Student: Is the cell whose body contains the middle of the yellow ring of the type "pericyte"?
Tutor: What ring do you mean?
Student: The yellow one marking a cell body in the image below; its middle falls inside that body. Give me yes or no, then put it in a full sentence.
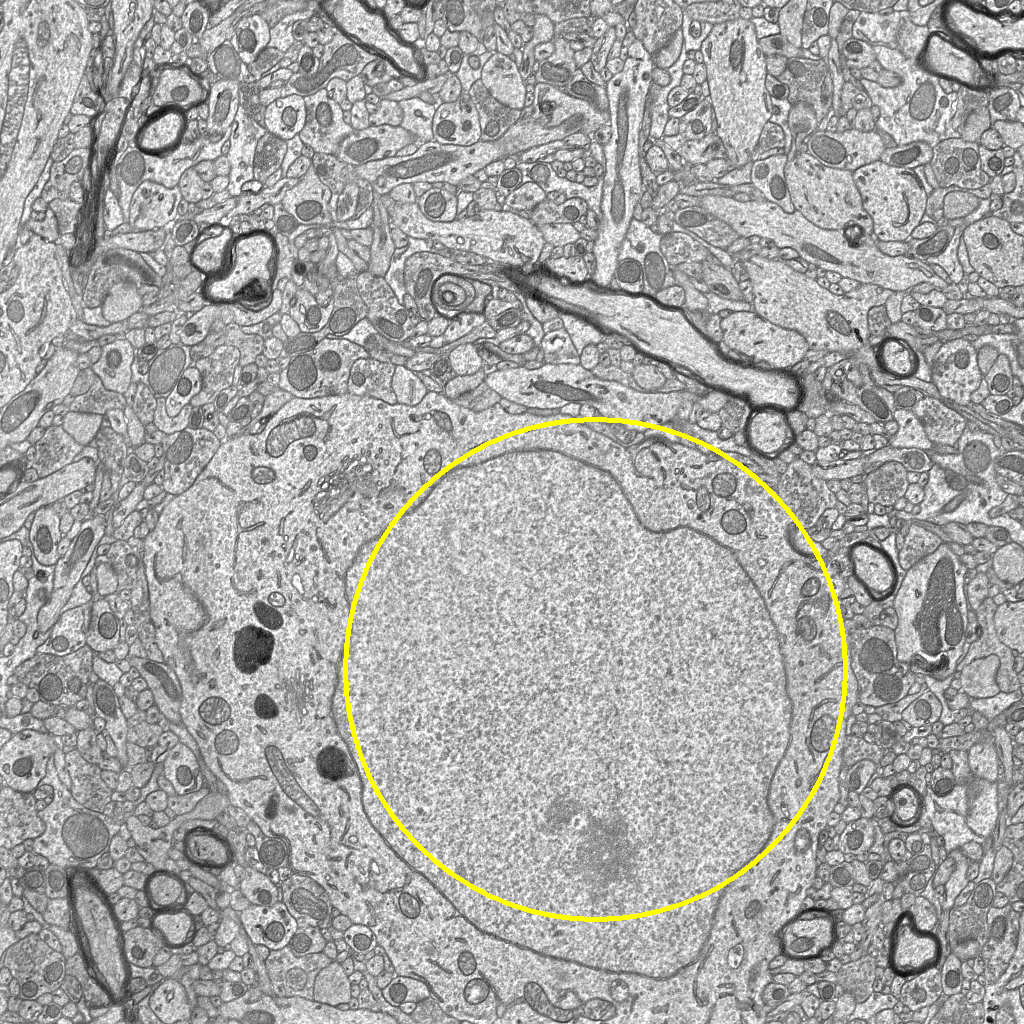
No, the cell whose body holds the middle of the yellow ring in the image has a different type.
